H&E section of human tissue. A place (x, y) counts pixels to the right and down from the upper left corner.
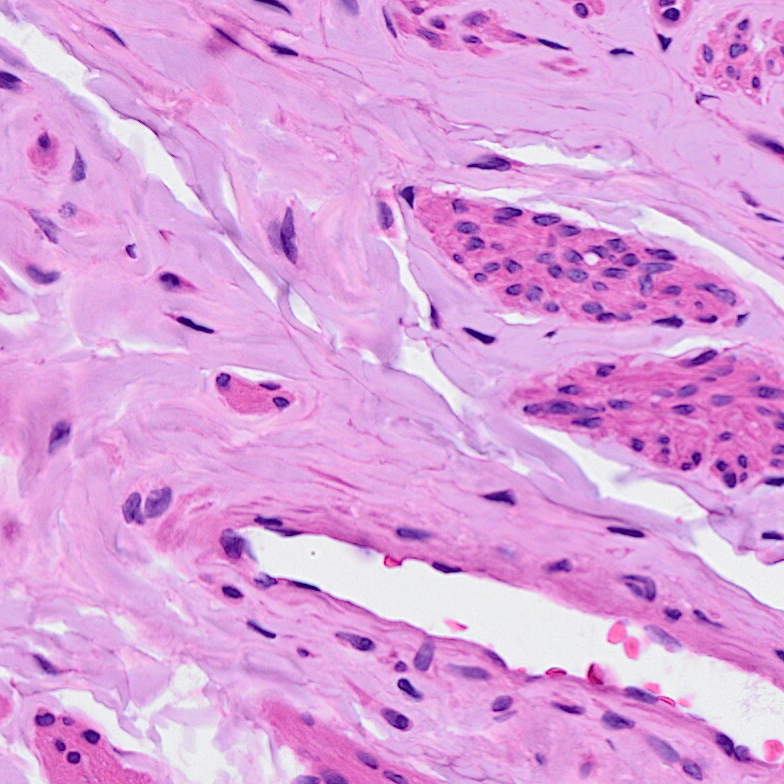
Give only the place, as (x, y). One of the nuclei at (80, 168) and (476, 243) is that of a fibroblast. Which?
(80, 168)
